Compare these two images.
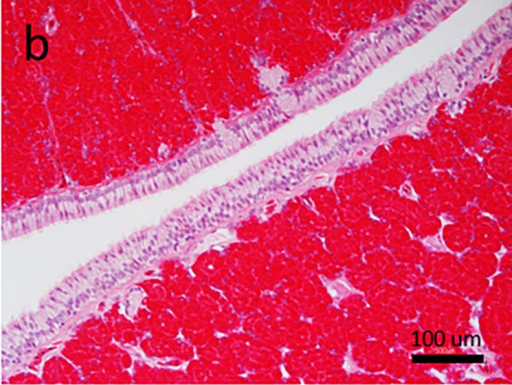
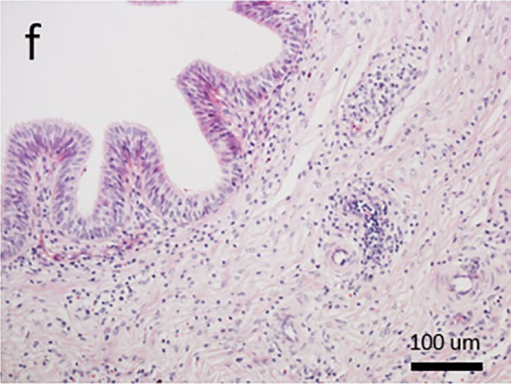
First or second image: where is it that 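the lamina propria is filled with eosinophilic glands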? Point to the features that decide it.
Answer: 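Second image: beneath the epithelium lies only pale loose connective tissue with scattered nuclei and vessels. First image: beneath the epithelium the wall is packed with bright red glandular lobules.
Hence: the first image.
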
